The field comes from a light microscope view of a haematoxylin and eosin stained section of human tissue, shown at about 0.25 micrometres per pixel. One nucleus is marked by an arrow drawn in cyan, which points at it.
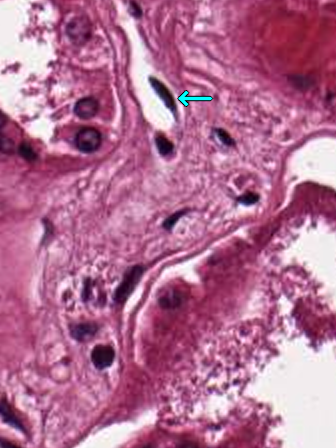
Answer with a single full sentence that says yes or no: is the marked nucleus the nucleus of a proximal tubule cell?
No, the marked nucleus has its place in a supporting cell rather than in a proximal tubule cell.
